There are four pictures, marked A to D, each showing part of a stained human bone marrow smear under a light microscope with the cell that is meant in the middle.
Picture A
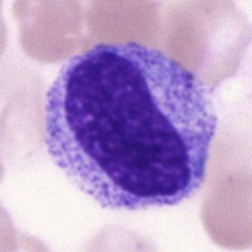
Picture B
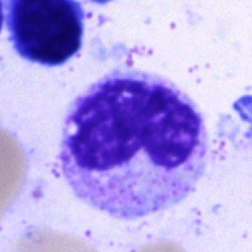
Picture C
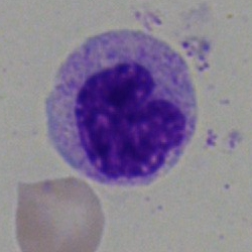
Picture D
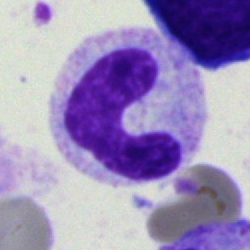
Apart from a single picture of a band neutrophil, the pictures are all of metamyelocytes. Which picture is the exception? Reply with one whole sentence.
Picture D shows the band neutrophil.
